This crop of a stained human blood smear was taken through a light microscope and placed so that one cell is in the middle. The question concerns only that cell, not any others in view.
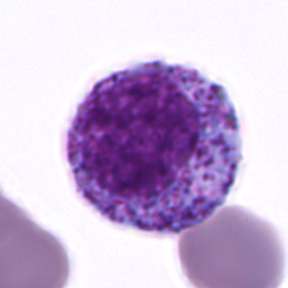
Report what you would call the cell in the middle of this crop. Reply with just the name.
promyelocyte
